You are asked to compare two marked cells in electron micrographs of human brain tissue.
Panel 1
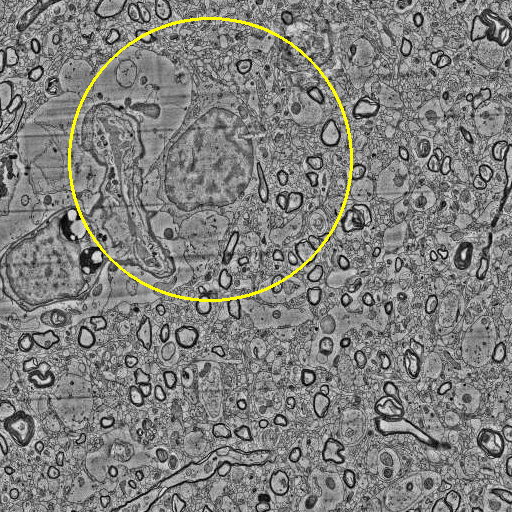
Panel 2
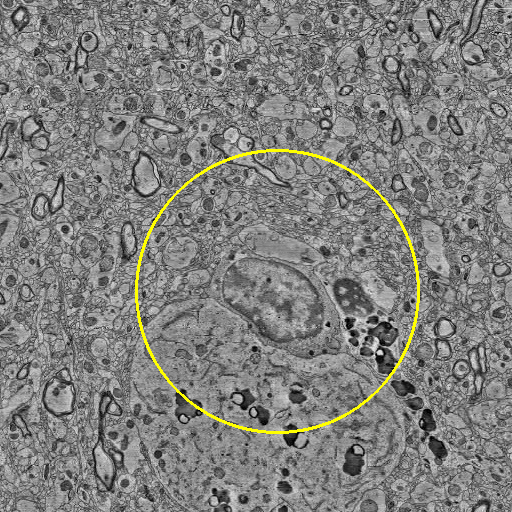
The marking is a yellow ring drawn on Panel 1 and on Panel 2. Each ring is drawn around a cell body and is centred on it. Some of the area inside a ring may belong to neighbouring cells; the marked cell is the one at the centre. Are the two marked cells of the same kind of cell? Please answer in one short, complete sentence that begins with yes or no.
Yes, the two marked cells are of the same kind.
